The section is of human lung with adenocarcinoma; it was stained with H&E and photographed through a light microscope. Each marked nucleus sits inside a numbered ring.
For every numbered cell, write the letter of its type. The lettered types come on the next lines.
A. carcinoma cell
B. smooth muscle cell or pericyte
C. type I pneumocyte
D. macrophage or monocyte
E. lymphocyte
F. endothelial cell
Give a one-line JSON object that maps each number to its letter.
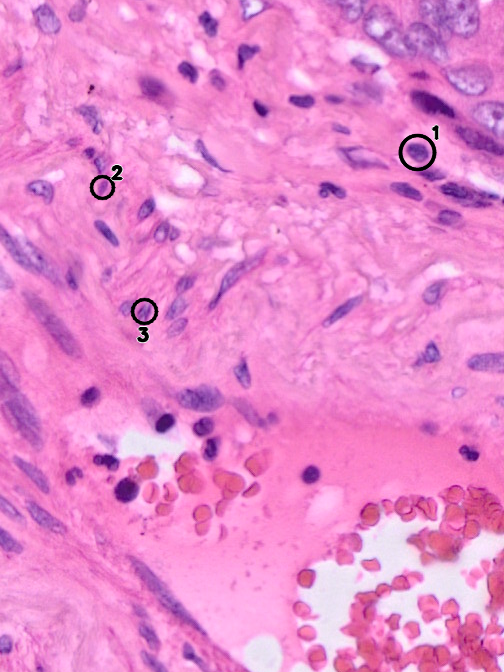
{"1": "E", "2": "B", "3": "B"}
